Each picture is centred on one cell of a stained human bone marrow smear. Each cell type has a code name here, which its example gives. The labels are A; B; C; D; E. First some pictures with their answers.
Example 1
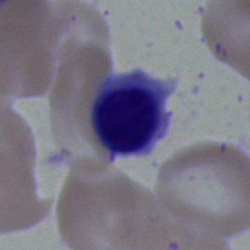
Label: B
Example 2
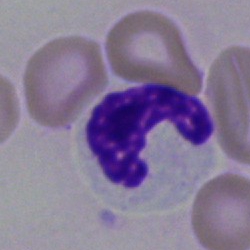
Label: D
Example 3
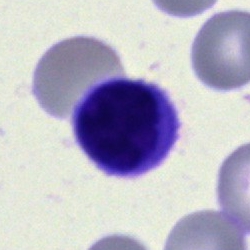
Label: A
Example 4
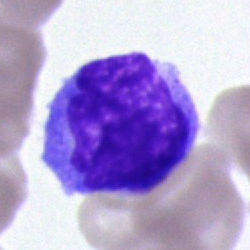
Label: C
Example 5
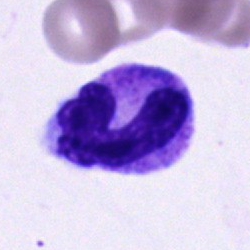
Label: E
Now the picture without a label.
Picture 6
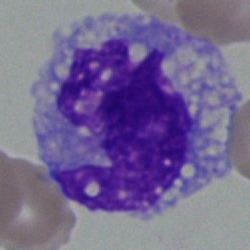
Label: C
